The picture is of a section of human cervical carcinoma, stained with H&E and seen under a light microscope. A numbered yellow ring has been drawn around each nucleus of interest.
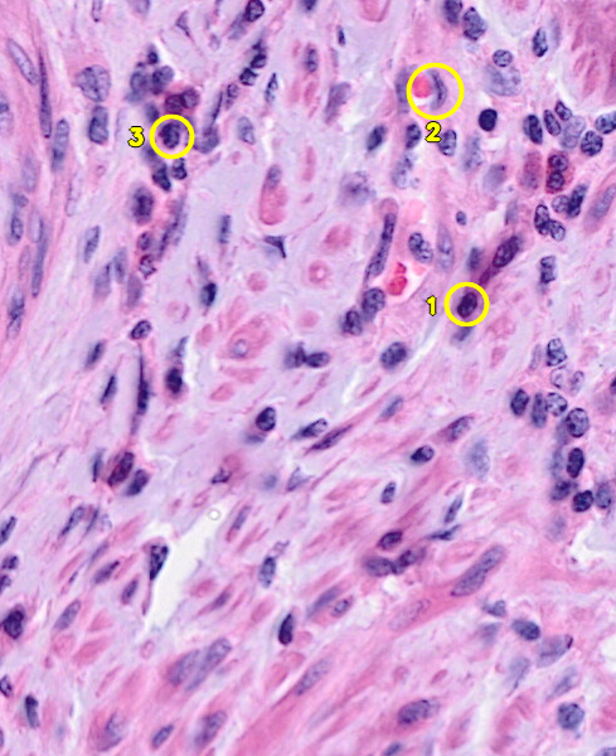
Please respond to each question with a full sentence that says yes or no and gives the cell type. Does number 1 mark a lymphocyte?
Yes, in this section the cell with number 1 is a lymphocyte.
